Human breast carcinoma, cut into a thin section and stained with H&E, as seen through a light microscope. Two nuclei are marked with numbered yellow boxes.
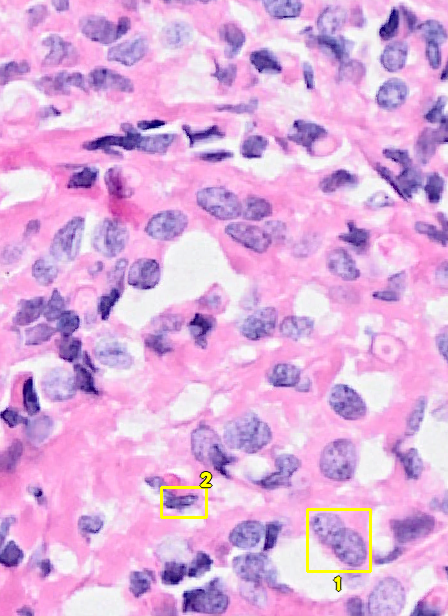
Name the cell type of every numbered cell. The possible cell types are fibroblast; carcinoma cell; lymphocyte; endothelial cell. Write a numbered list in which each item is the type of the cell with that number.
1. carcinoma cell
2. endothelial cell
